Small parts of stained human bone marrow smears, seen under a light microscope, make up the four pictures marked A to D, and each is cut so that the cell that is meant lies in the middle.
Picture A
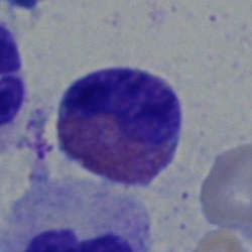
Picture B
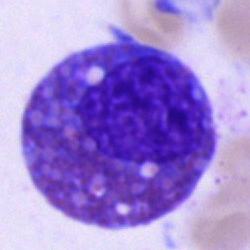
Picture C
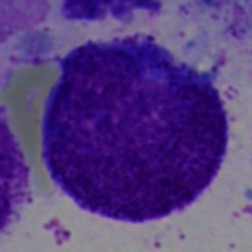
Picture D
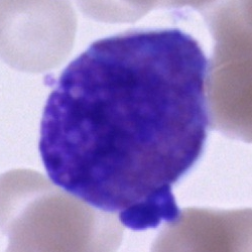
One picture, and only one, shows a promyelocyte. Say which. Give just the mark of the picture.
C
